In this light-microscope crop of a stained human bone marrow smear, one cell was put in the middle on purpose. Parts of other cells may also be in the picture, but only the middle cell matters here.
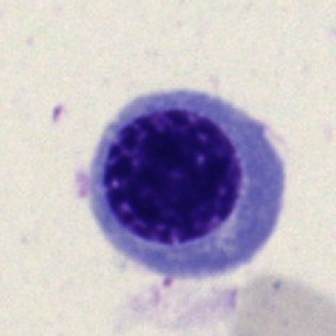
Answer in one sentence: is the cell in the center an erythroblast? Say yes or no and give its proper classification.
Yes, the cell at the centre of the field is an erythroblast.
